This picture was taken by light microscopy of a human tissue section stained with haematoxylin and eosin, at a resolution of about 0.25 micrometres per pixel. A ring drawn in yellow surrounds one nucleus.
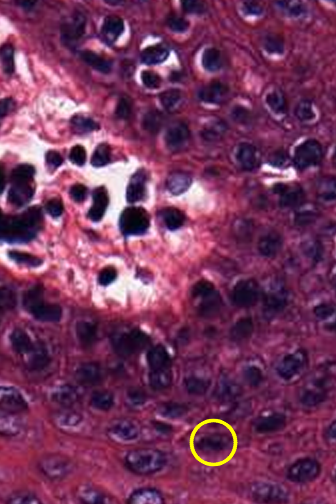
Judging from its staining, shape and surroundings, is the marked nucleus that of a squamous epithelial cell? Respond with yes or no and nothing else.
yes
